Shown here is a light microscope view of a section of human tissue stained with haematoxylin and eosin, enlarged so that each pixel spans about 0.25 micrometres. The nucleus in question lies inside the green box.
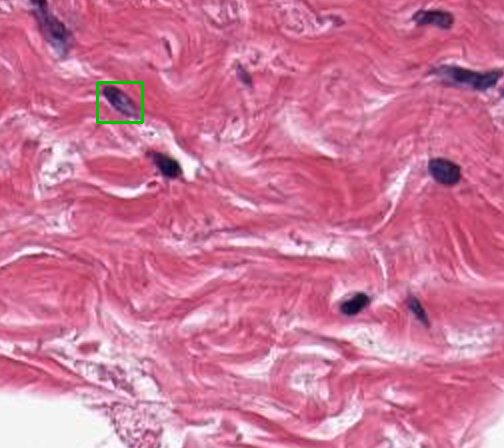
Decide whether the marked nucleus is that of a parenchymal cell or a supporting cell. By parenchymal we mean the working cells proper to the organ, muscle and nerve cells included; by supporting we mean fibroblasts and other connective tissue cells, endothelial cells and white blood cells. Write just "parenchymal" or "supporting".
supporting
